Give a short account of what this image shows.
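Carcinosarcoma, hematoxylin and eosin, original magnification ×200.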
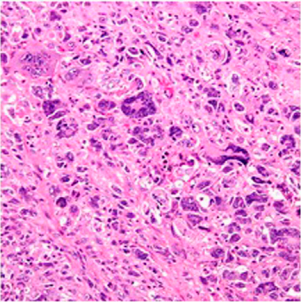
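This is the sarcomatous element of a tumour, made of scattered, strongly pleomorphic malignant cells lying in loose pink stroma. Many cells are large and bizarre, with big, dark, irregular nuclei, and some hold several nuclei. Spindle-shaped and rounded cells are mixed without any glandular arrangement. The cytoplasm is pink and ill-defined around the nuclei.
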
